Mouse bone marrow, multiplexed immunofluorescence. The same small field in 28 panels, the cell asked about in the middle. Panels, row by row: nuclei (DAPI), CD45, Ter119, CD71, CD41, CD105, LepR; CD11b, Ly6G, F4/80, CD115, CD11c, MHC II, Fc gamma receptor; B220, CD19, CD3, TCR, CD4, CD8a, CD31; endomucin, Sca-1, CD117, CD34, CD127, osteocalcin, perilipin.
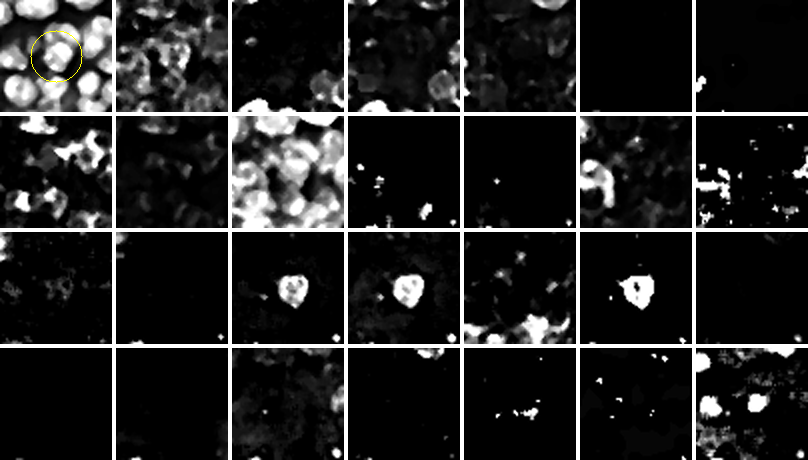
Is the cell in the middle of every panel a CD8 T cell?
Yes, it is a CD8 T cell.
